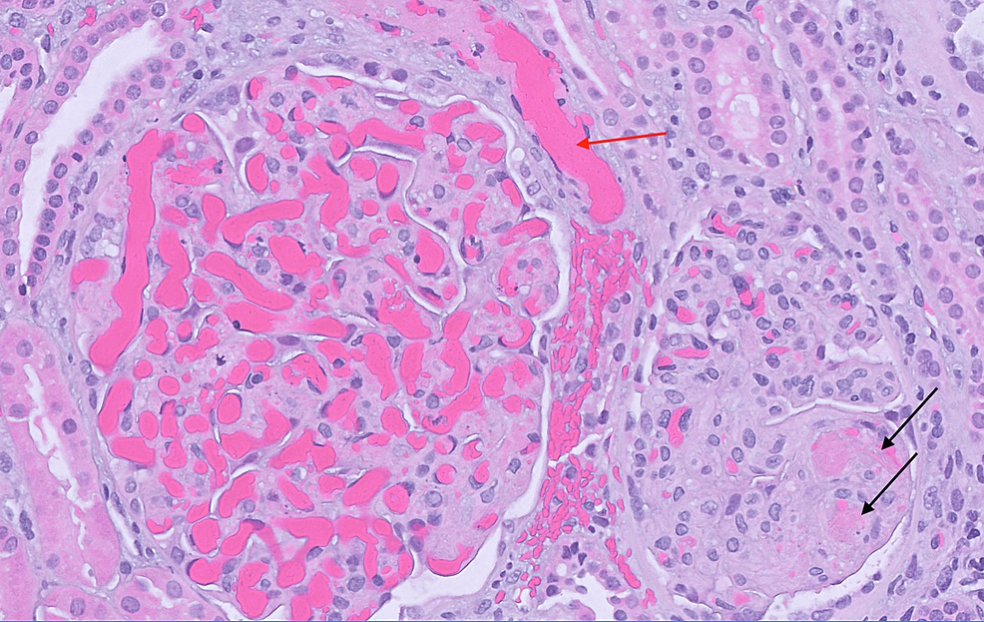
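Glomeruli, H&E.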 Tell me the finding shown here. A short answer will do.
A: Thrombotic microangiopathy.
